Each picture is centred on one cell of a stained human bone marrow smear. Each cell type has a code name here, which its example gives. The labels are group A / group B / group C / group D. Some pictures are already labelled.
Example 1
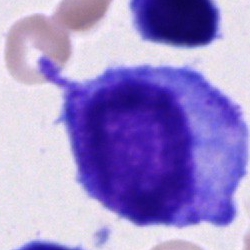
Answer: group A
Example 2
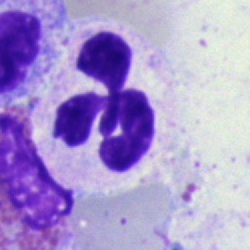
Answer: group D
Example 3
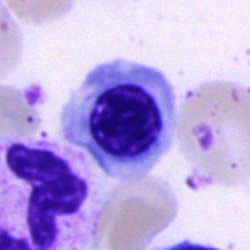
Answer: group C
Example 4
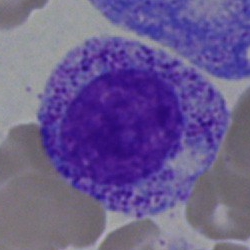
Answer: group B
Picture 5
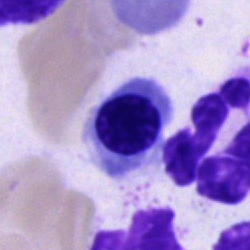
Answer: group C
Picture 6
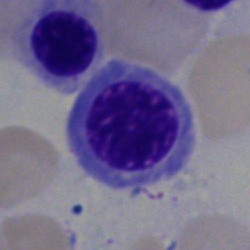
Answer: group C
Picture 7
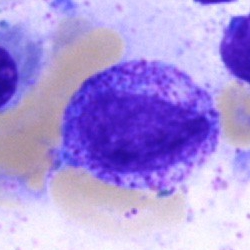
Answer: group B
